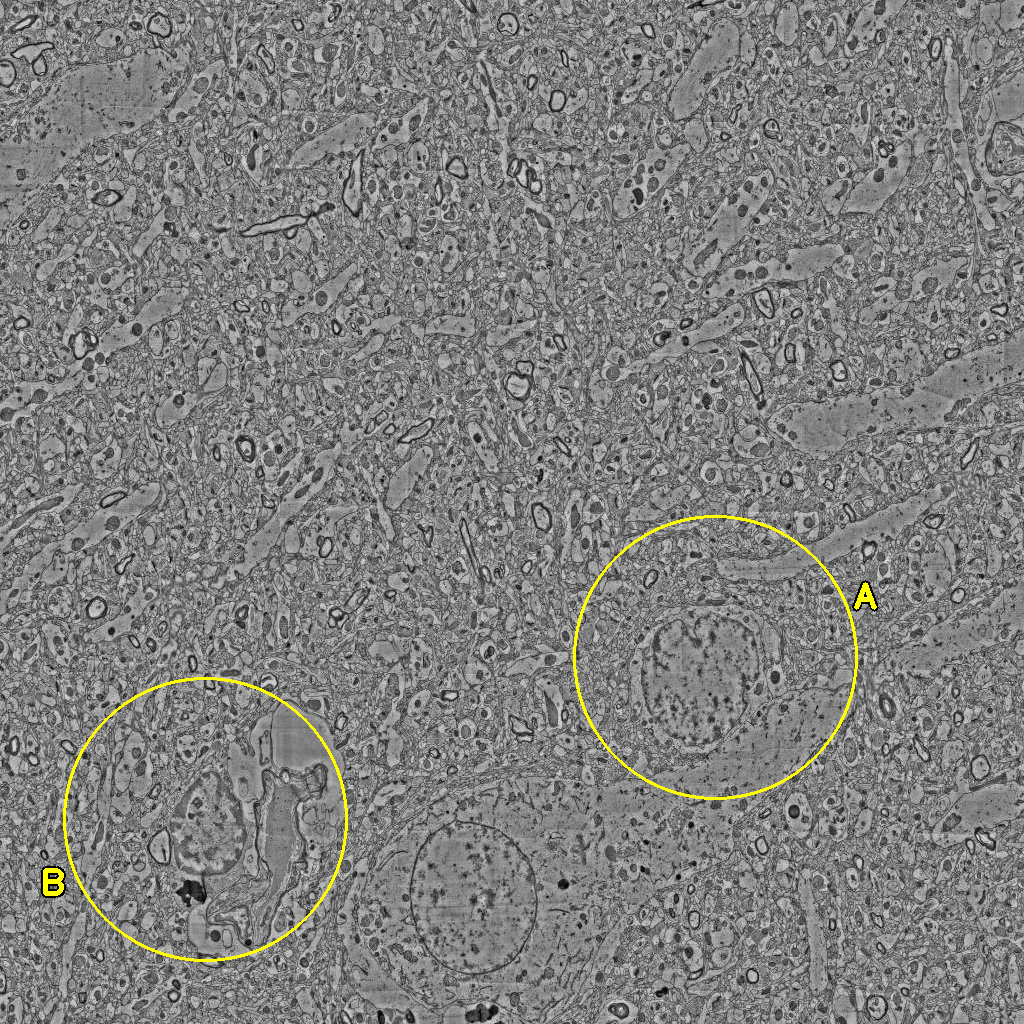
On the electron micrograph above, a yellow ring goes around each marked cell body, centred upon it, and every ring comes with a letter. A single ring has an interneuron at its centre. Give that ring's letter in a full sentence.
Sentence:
The ring holding the cell asked for at its centre bears the letter A.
